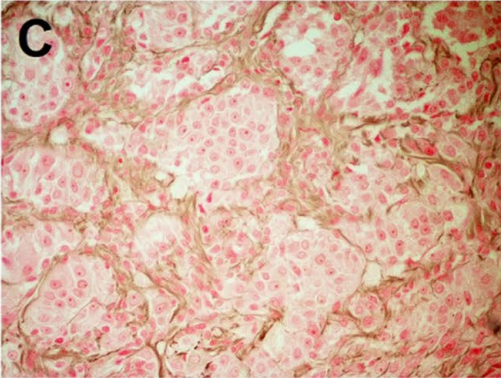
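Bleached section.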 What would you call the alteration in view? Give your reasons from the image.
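Rounded clusters of closely packed cells. Clusters separated by thin brownish fibrous strands.
Conclusion: nested architecture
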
